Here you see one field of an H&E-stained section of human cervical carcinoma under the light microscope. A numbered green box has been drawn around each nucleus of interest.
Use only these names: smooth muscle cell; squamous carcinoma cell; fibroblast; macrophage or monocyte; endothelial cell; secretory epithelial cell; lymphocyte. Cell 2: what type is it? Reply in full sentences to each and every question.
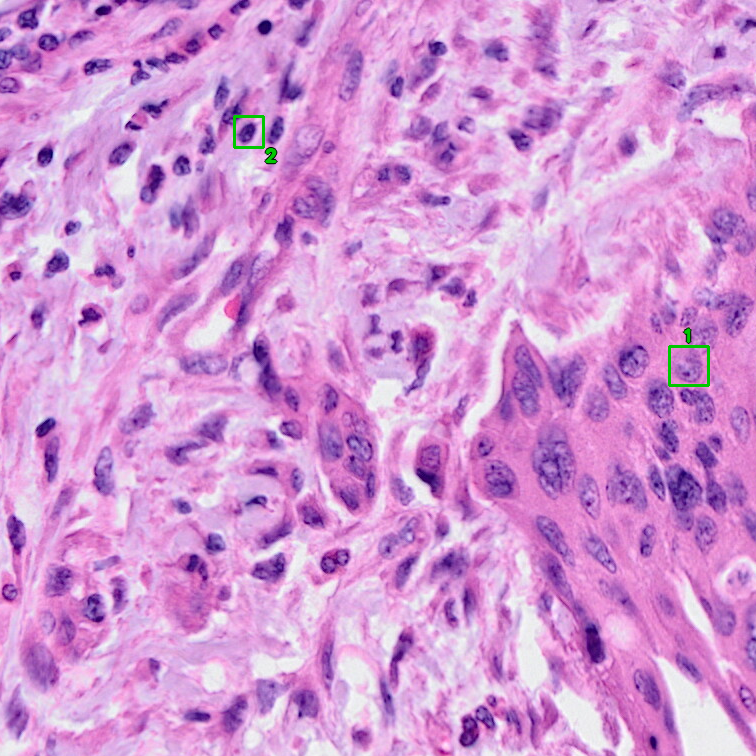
The marked cell with the number 2 is recognised as a lymphocyte.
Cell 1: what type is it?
Looking at the numbered marks, cell 1 is a squamous carcinoma cell.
